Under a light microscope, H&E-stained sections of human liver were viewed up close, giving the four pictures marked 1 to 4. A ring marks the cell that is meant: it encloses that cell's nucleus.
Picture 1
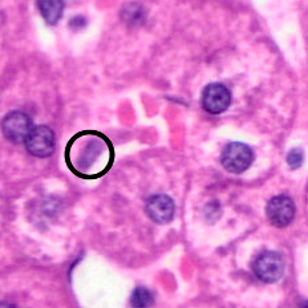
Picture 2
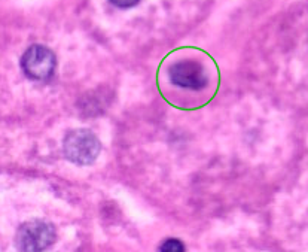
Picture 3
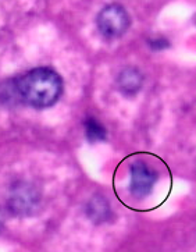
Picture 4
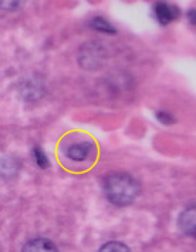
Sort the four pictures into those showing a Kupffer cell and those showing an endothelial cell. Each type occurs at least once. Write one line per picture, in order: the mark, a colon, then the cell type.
1: Kupffer cell
2: endothelial cell
3: endothelial cell
4: Kupffer cell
